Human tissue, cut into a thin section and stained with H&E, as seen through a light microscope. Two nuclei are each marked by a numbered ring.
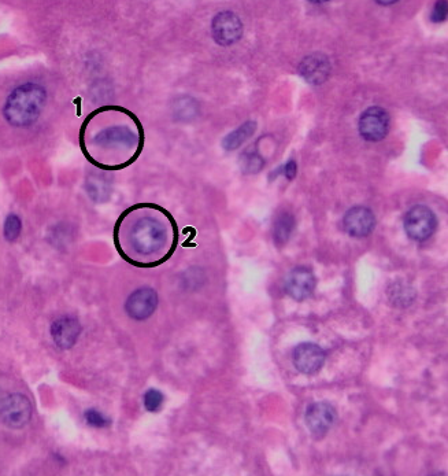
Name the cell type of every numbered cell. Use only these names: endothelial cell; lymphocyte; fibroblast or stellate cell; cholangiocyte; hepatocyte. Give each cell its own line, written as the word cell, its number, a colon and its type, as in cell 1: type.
cell 1: endothelial cell
cell 2: hepatocyte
